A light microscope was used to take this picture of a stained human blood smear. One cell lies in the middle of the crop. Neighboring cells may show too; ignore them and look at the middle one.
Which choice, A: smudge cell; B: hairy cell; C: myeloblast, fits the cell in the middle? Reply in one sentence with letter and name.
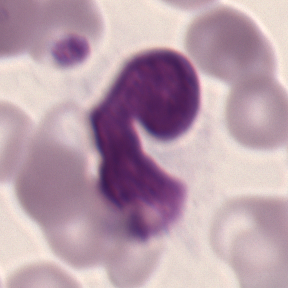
Option A holds, for the cell in the middle is a smudge cell.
